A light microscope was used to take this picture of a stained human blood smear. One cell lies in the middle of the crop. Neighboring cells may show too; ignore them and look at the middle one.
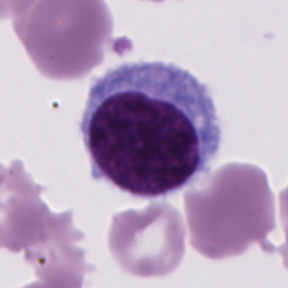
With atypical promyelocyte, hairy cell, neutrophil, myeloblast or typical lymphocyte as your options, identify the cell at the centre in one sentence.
Centrally within this crop lies a hairy cell.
